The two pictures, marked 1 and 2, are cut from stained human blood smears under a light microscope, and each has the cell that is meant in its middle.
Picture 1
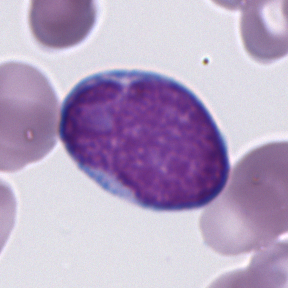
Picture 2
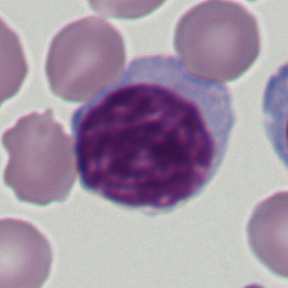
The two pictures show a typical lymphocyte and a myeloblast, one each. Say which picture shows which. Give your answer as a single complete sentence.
Picture 1 is of a myeloblast, and picture 2 is of a typical lymphocyte.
